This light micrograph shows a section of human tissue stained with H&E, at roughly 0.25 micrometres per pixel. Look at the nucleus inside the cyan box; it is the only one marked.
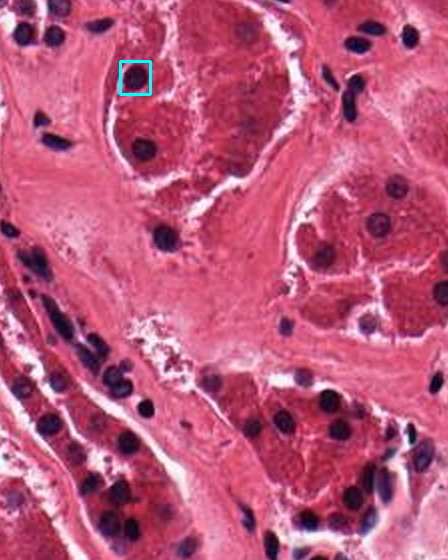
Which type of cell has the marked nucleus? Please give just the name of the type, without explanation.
proximal tubule cell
